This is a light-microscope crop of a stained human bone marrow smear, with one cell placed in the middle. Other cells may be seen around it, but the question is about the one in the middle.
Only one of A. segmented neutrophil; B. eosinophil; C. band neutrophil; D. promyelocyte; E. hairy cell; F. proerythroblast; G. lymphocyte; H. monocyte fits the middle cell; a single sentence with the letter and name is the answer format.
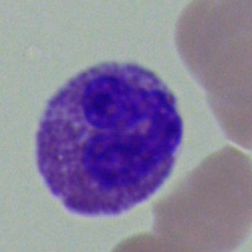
Option B is the right choice, the central cell being an eosinophil.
